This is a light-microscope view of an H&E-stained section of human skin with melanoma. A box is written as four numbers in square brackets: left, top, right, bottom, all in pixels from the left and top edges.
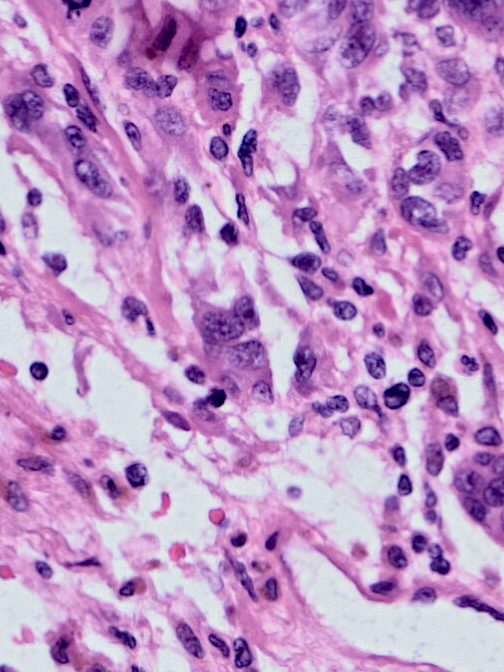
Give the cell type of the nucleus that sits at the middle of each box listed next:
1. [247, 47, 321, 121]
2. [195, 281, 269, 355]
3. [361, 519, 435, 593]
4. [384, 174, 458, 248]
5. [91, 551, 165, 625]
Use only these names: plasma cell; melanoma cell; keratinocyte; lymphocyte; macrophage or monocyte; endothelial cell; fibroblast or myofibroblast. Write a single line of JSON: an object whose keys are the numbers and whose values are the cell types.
{"1": "melanoma cell", "2": "melanoma cell", "3": "macrophage or monocyte", "4": "melanoma cell", "5": "macrophage or monocyte"}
